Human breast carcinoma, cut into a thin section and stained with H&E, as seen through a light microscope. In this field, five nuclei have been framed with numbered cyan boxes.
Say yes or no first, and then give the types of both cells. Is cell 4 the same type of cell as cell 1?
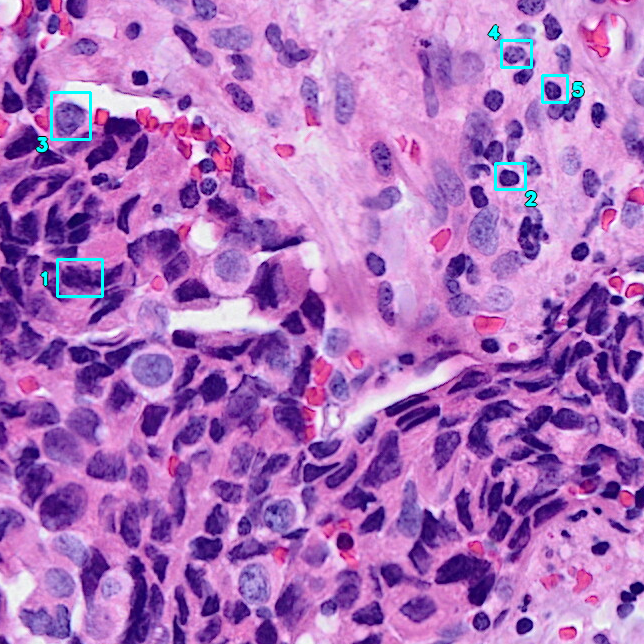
No, in contrast to cell 1, which is a carcinoma cell, cell 4 is a lymphocyte.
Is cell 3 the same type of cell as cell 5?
No, cell 3 should be called a carcinoma cell, and cell 5 should be called a lymphocyte.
